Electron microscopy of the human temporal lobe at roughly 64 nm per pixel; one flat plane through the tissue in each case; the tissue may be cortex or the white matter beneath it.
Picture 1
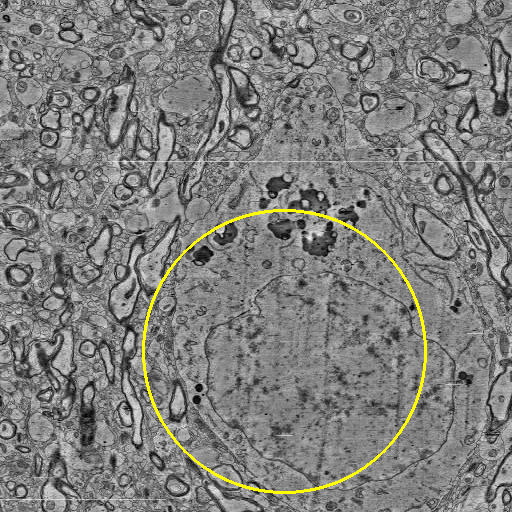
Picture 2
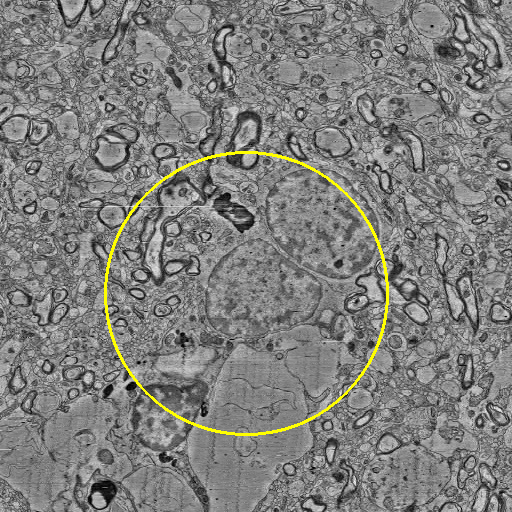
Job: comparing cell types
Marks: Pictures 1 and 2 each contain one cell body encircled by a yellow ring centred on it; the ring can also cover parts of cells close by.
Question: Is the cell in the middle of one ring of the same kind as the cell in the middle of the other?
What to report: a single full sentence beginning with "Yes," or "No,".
No, the cell at the ring centre in Picture 1 and its partner in Picture 2 are of two kinds.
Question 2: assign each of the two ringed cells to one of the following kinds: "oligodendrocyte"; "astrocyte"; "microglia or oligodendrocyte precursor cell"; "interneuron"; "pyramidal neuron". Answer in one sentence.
The two cells are a pyramidal neuron in the first picture and an oligodendrocyte in the second.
